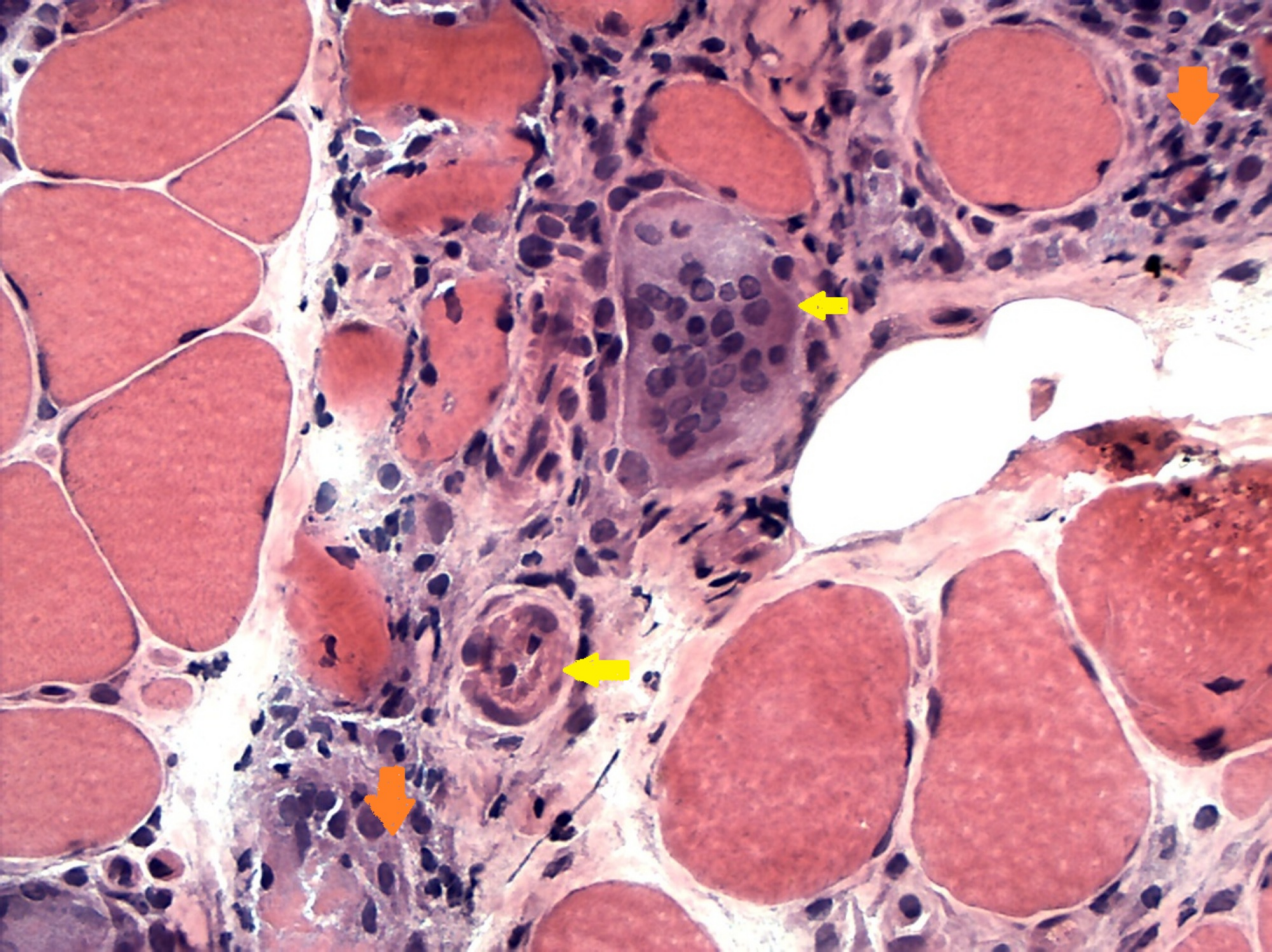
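Skeletal muscle in cross-section, with large polygonal pink muscle fibers on the left and lower right and smaller, rounded fibers in between. The spaces between the fibers in the center are filled with many small cells with dark round or oval nuclei. A large cell with pale purple cytoplasm and many nuclei lies among them.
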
